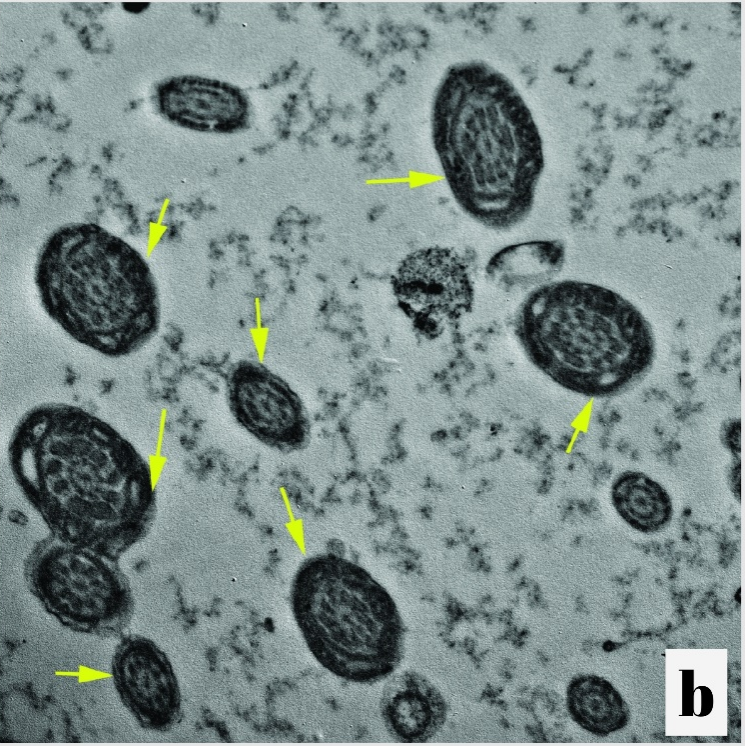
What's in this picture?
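Cross sections through sperm tails at the mid-piece lie scattered in a flocculent, finely granular background. Each larger profile is round to oval and shows a central axoneme of doublet microtubules in a ring, ringed by dense fibres. Around these lies a thick, electron-dense ring of mitochondria forming the sheath, bounded by the plasma membrane. Smaller round profiles without this thick dense ring are flagellar sections from further along the tail.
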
